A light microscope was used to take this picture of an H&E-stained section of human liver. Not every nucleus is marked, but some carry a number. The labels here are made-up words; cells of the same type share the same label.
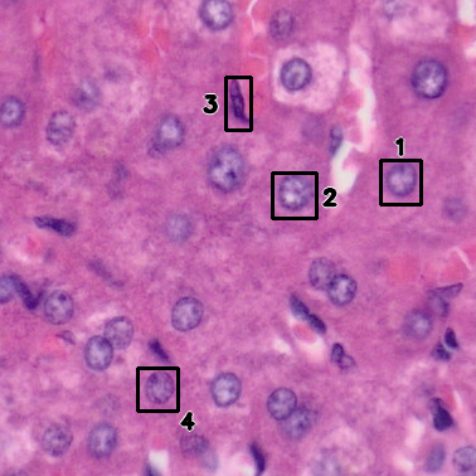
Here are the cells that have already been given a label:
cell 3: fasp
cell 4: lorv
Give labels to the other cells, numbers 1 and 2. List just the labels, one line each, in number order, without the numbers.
lorv
lorv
